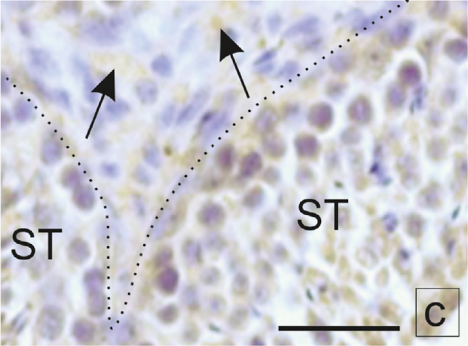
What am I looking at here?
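Seminiferous tubules crowded with round germ cell nuclei surround a narrow triangular interstitial space. The cells in that space have pale cytoplasm with only faint, speckled brown staining and bluish nuclei. These are Leydig cells of the interstitium, here only weakly stained.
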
